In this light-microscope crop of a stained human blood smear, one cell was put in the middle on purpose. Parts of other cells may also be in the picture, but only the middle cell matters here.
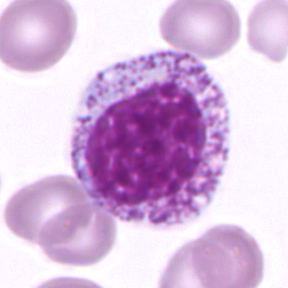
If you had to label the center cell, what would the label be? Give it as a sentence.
In this smear crop, the middle cell is a myelocyte.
